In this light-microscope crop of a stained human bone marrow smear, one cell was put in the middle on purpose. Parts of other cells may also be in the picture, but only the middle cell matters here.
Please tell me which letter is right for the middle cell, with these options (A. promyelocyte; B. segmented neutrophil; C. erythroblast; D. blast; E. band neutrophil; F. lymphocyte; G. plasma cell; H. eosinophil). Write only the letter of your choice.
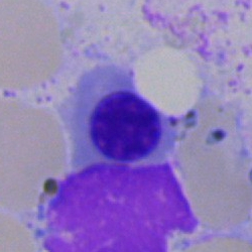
C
